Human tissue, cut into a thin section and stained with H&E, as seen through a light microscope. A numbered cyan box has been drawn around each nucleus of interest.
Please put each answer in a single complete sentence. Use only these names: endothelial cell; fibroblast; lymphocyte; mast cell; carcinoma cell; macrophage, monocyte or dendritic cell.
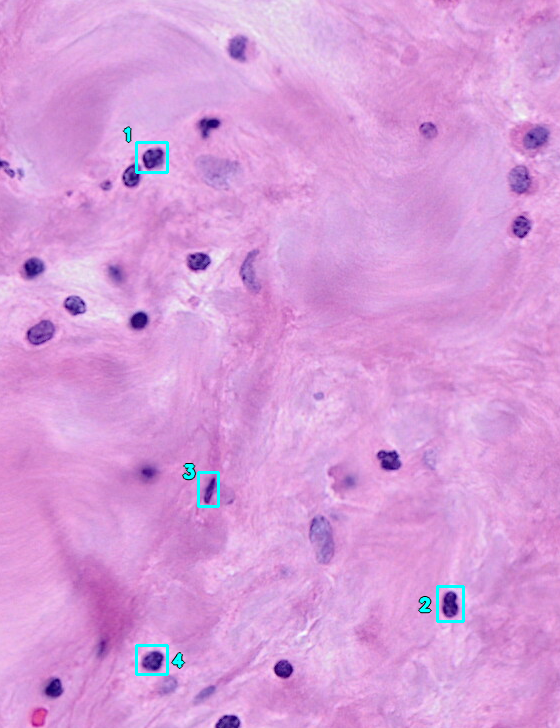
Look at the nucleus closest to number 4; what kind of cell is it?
It is a macrophage, monocyte or dendritic cell whose nucleus is nearest to number 4.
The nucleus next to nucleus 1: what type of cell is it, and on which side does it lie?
The nearest one is a lymphocyte, found below and to the left of nucleus 1.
